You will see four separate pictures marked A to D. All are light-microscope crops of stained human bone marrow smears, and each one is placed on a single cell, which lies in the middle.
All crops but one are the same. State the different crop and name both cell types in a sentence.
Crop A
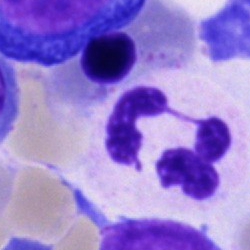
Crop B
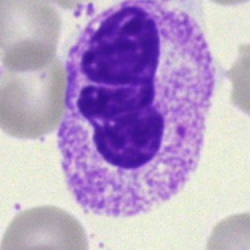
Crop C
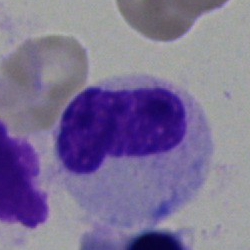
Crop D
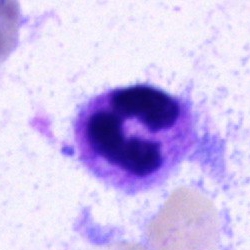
Where the others show segmented neutrophils, crop C shows a band neutrophil.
